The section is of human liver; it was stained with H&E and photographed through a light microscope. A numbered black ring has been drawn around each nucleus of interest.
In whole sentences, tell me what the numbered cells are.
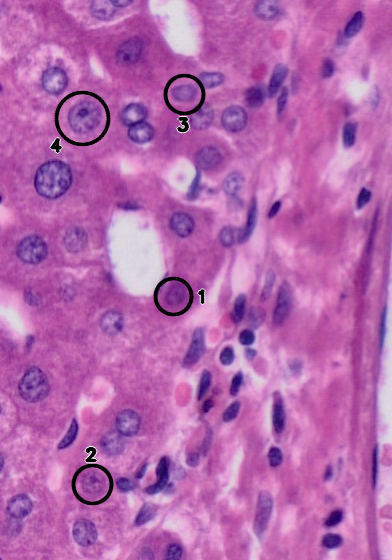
Cells 1, 2 and 4 are hepatocytes. Cell 3 is a cholangiocyte.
